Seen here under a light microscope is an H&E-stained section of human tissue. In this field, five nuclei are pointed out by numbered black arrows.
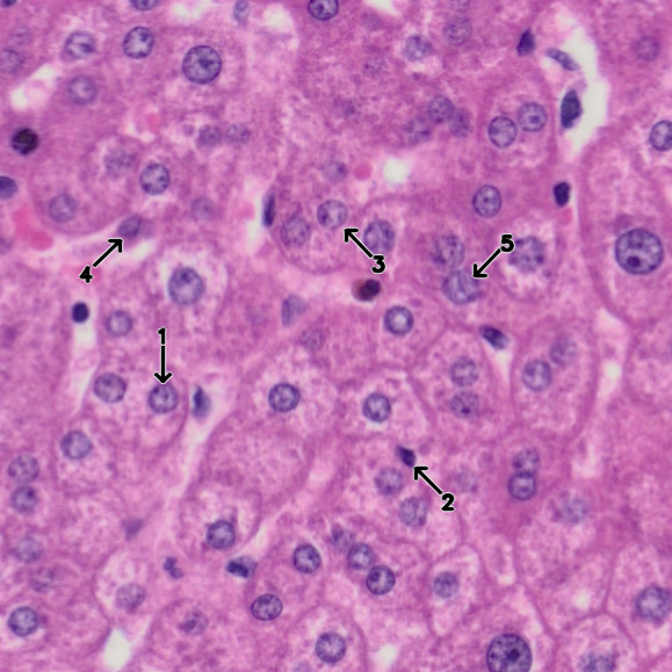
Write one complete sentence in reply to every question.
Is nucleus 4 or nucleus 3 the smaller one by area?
The smaller nucleus is 4, and 3 covers roughly 2 times its area.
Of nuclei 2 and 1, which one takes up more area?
The larger nucleus is 1, at roughly 2.5 times the area of 2.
